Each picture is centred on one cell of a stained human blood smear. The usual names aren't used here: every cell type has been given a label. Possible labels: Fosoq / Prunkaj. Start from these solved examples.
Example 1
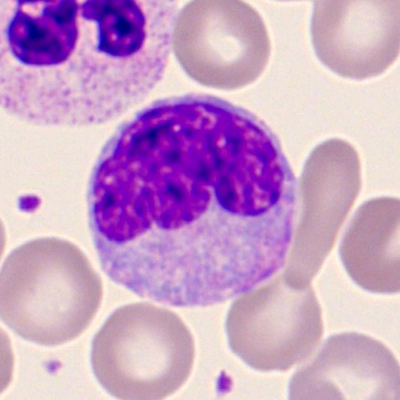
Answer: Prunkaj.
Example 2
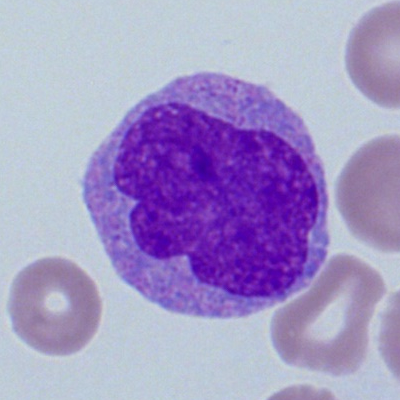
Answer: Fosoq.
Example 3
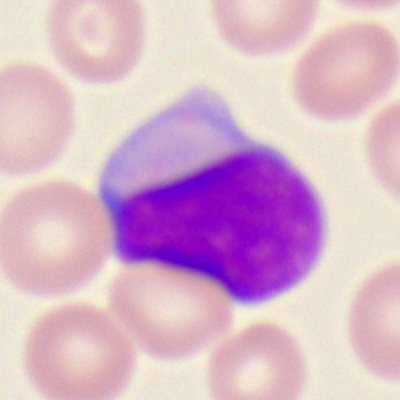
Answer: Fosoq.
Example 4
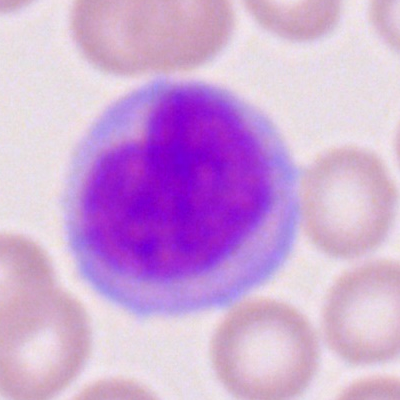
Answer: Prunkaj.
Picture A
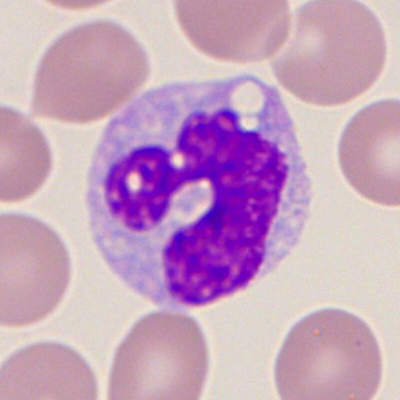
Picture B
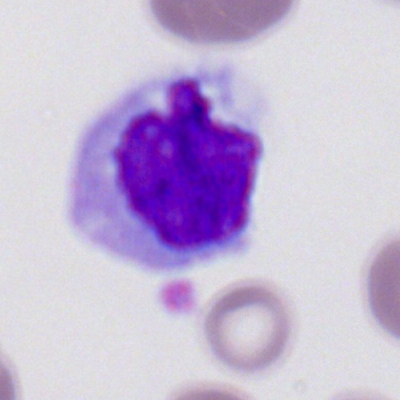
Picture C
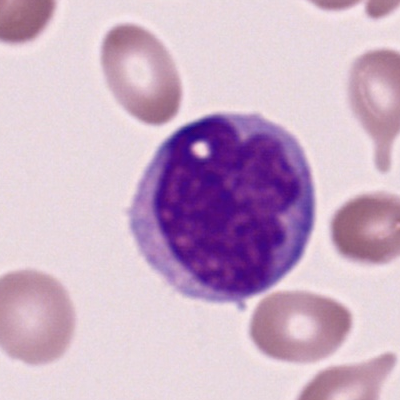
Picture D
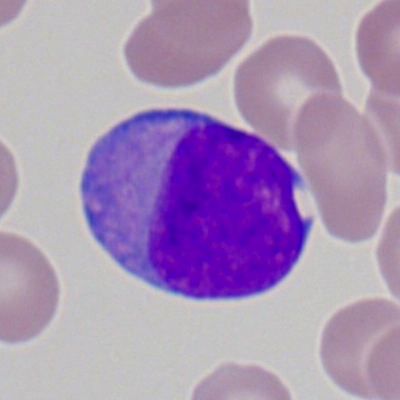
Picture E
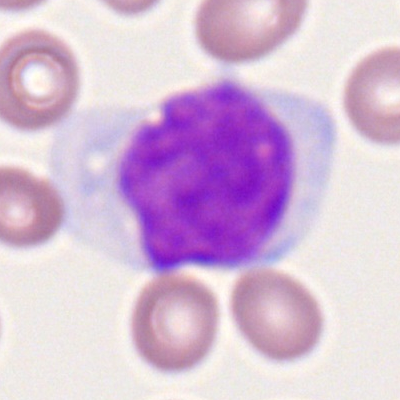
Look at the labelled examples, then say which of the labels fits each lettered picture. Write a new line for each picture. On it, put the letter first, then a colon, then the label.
A: Prunkaj.
B: Prunkaj.
C: Prunkaj.
D: Fosoq.
E: Prunkaj.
